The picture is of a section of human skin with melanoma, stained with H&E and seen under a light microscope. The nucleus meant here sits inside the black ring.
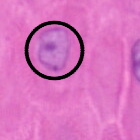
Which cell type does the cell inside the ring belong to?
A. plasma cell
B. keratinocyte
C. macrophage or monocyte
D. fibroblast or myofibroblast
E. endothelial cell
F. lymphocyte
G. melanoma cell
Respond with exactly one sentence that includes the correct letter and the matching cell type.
With the cell inside the ring being a keratinocyte, option B is correct.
